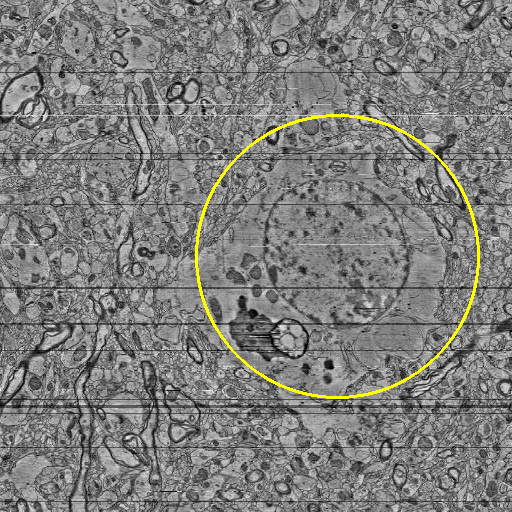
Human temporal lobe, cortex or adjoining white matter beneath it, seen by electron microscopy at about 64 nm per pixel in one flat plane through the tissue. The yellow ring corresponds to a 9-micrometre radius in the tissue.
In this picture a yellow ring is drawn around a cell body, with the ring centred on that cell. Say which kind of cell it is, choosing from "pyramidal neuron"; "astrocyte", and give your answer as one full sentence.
Here it is an astrocyte that sits at the centre of the drawn yellow ring.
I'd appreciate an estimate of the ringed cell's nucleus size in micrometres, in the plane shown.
Approximately 10 micrometres across in this plane.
